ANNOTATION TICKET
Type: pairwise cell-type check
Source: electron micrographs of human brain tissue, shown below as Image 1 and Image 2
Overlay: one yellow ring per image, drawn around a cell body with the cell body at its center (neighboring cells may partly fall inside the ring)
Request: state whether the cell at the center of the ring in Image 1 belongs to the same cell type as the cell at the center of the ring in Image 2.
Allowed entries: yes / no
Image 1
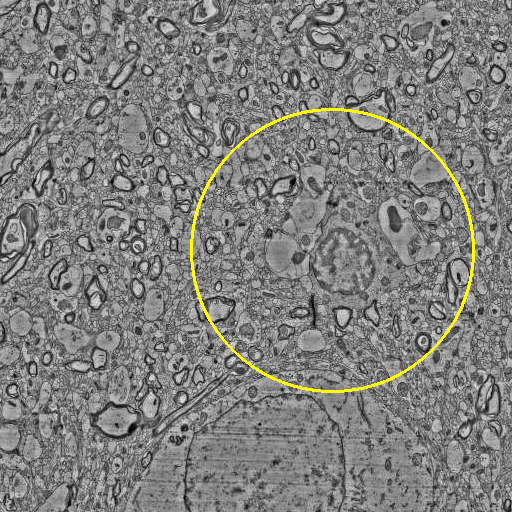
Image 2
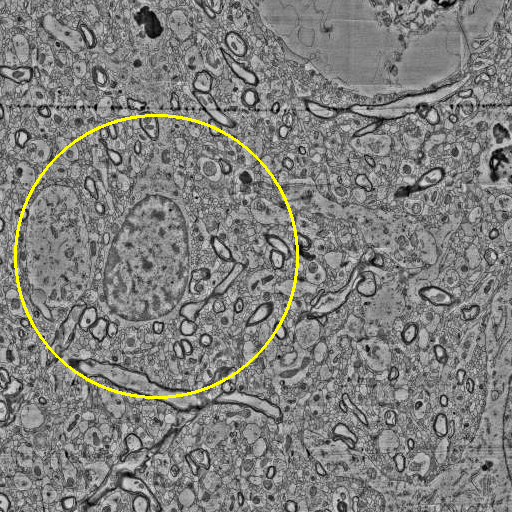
yes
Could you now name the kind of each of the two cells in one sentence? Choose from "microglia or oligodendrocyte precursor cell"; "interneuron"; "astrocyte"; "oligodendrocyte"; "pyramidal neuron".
In each of the two pictures, the ringed cell is an oligodendrocyte.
